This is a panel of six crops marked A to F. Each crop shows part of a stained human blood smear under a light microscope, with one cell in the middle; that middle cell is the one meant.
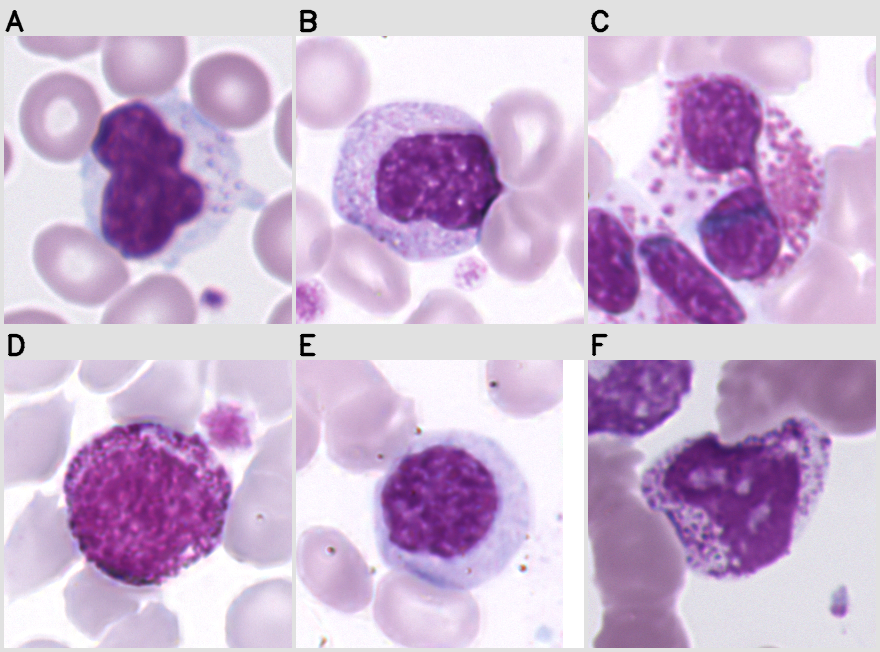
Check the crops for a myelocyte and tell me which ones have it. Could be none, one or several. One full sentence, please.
The middle cells of crops B, D, E and F are myelocytes.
